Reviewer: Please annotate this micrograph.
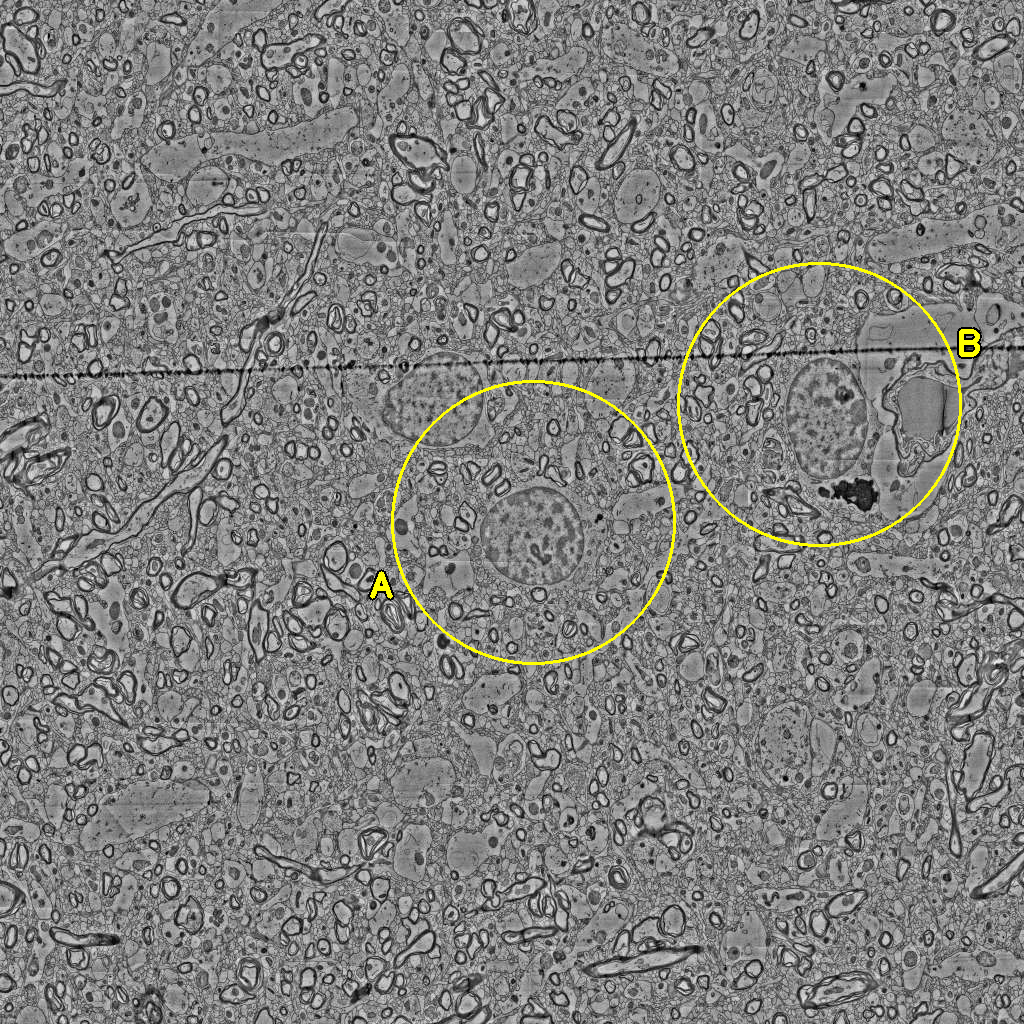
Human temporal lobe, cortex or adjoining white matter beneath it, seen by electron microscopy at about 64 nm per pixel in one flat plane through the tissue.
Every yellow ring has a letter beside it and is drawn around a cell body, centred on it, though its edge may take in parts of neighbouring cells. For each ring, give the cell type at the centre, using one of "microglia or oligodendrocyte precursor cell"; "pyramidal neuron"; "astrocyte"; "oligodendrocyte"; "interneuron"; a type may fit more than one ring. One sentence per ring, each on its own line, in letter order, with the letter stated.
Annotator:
The cell in the middle of ring A is an oligodendrocyte.
The cell in the middle of ring B is an oligodendrocyte.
